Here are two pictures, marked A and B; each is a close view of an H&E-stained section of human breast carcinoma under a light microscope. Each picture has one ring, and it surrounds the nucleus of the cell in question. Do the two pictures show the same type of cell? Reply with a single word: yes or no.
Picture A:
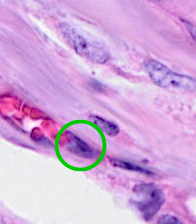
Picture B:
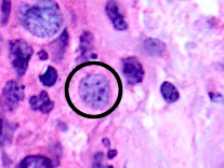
no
